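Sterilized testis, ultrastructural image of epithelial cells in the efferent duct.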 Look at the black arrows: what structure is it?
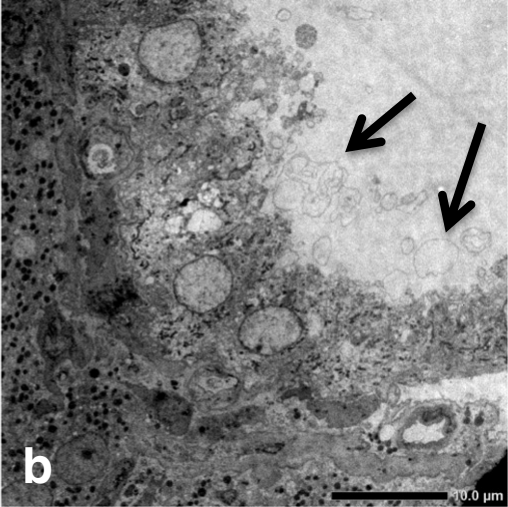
Apocrine structures.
